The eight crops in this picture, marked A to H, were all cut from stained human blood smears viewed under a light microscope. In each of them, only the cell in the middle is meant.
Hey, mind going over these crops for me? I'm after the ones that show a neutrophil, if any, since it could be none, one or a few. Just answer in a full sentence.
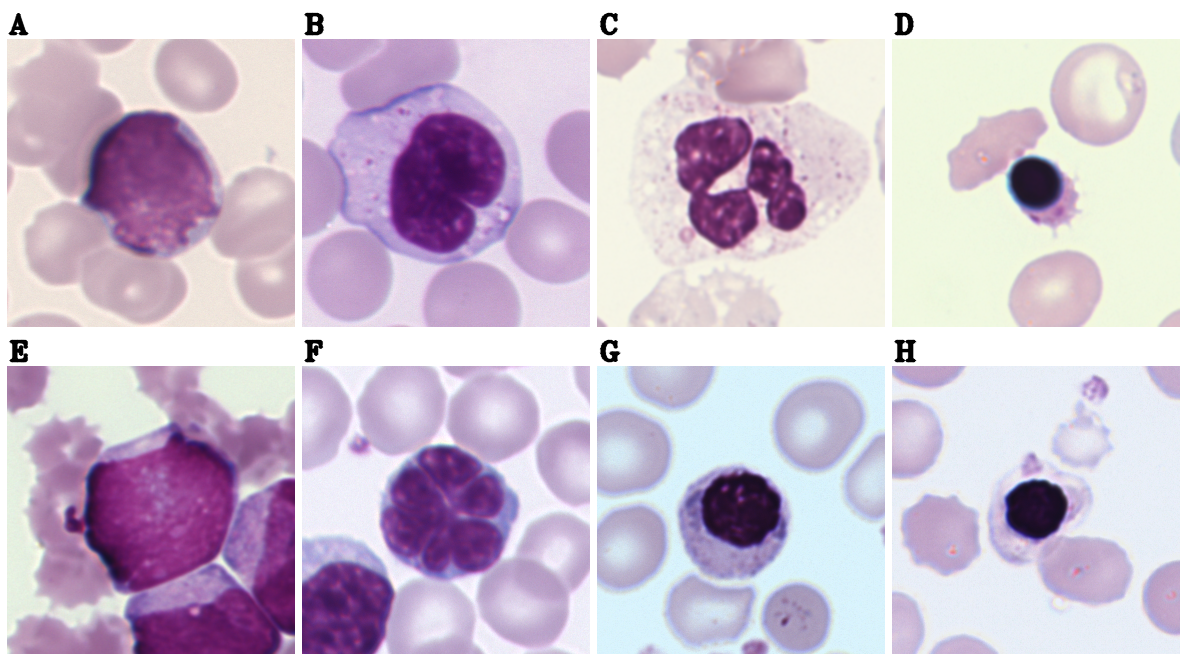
What crop C shows is a neutrophil, something no other crop shows.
